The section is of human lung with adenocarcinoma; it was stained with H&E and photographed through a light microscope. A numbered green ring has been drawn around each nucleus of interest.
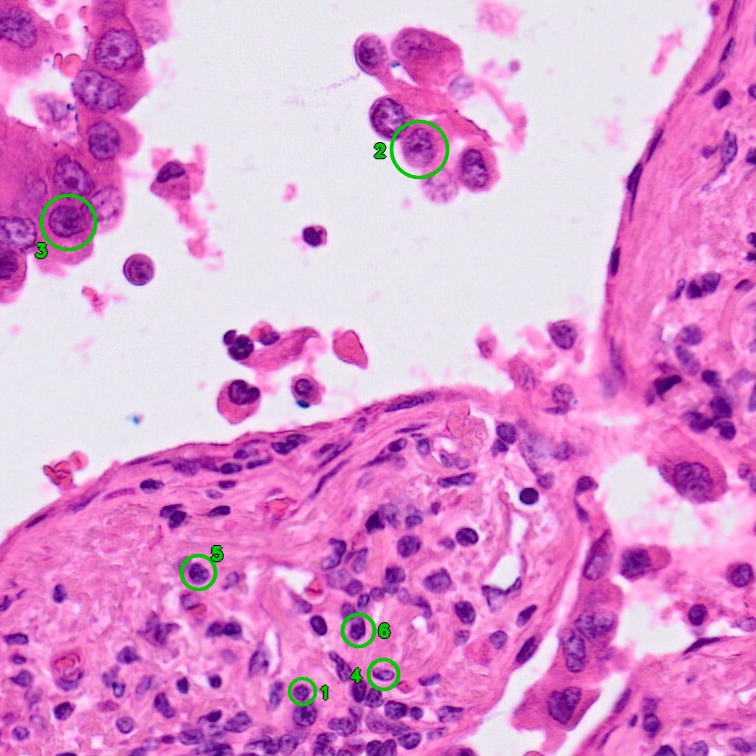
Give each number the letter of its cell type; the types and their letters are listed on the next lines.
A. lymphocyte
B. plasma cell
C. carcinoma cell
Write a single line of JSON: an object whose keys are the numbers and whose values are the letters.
{"1": "A", "2": "C", "3": "C", "4": "A", "5": "A", "6": "A"}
